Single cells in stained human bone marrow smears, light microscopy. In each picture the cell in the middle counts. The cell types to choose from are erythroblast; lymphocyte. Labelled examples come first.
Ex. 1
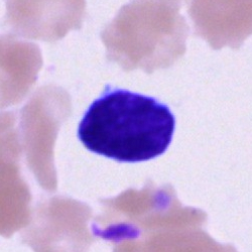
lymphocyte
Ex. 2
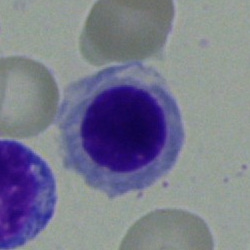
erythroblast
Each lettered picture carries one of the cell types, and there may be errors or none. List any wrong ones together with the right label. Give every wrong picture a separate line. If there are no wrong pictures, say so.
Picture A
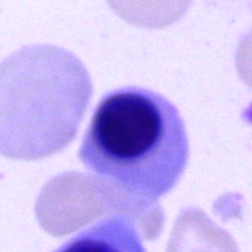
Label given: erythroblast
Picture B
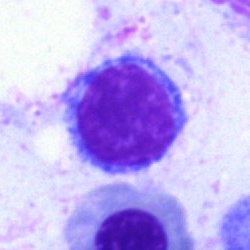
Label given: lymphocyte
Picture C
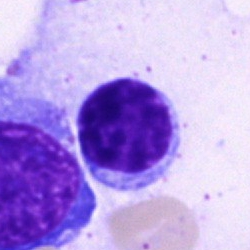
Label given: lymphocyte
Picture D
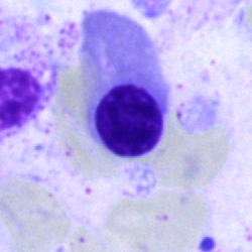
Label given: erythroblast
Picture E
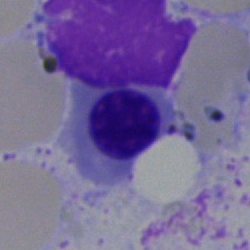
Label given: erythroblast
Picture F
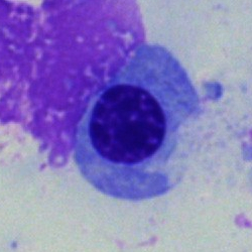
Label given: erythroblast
None of the labels needs changing.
